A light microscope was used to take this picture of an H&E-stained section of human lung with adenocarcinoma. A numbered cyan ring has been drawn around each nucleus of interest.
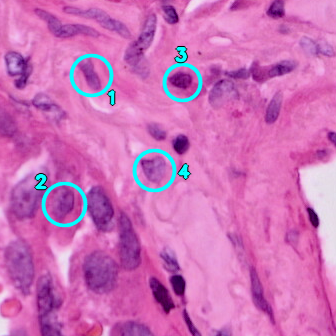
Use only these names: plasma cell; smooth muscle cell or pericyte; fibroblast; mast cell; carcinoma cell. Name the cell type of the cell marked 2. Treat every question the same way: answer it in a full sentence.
Recognised here as a carcinoma cell is the cell numbered 2.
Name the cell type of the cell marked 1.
Cell 1, among those numbered, is a smooth muscle cell or pericyte.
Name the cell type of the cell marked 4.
The nucleus marked 4 is the nucleus of a fibroblast.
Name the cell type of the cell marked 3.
The numbered cell 3 is identified here as a plasma cell.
